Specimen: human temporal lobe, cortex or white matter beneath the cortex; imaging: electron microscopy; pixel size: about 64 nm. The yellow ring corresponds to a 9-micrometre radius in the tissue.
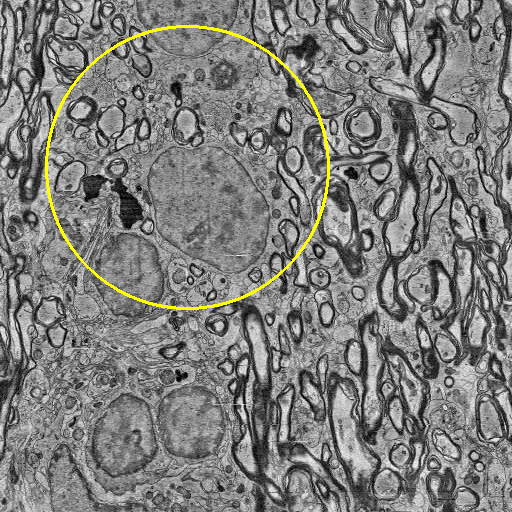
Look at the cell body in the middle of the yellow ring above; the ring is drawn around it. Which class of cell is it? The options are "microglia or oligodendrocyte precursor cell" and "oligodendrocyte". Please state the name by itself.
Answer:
oligodendrocyte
